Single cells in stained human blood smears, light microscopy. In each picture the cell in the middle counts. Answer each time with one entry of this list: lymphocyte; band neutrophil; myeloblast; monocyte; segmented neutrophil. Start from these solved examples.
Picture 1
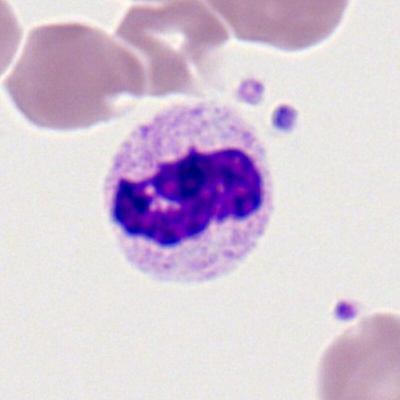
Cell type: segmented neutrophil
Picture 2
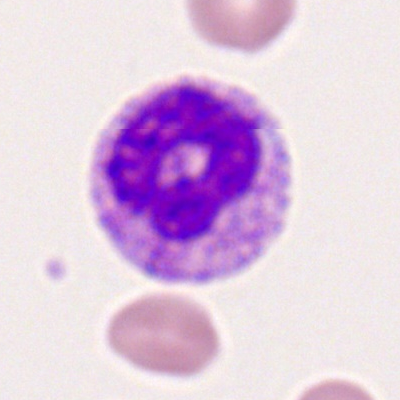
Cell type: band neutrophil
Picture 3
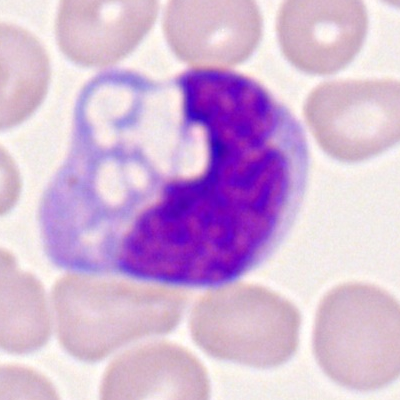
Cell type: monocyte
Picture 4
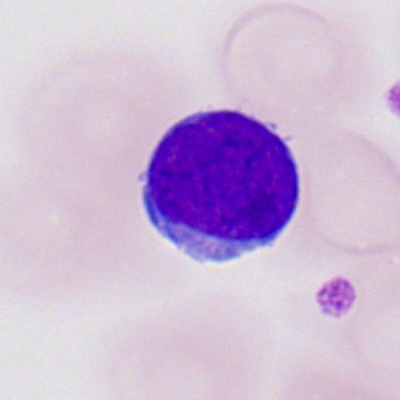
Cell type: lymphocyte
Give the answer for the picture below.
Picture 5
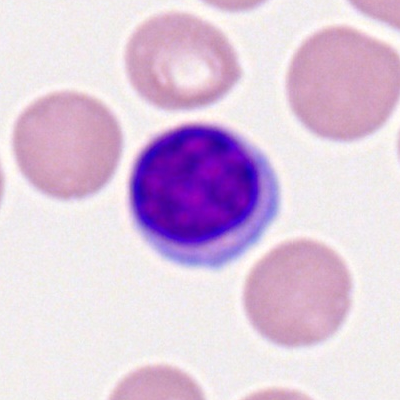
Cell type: lymphocyte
